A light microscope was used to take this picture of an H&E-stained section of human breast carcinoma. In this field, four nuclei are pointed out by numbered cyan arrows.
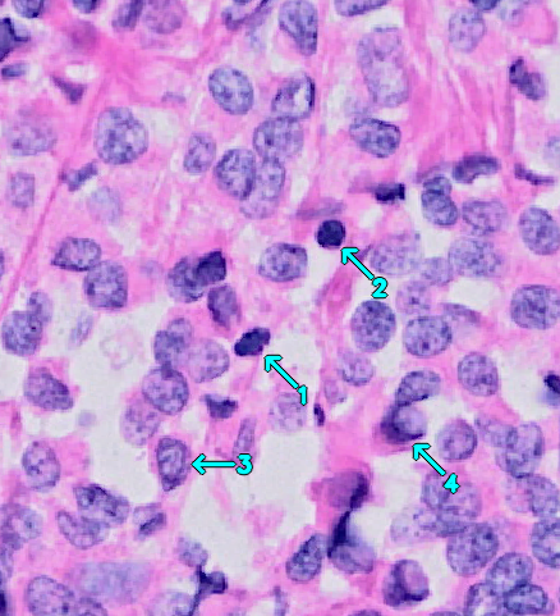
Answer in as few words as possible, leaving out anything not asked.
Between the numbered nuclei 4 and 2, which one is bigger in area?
4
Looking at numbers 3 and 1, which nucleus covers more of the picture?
3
